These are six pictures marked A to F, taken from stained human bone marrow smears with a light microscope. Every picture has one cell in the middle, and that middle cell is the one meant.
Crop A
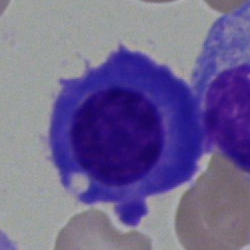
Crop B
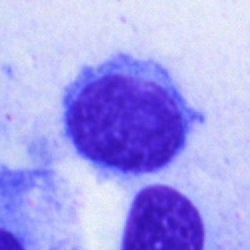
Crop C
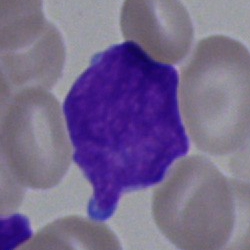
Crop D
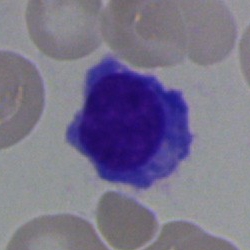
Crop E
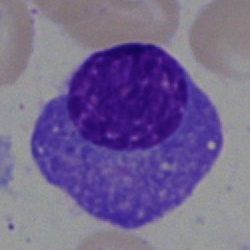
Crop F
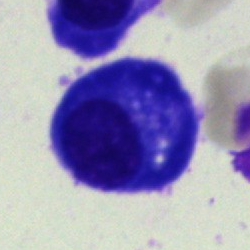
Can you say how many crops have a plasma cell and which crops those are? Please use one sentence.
Represented by four crops, A, D, E and F, are plasma cells.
